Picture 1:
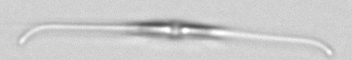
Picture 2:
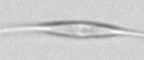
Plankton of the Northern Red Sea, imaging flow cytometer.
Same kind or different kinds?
Same: Cylindrotheca.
